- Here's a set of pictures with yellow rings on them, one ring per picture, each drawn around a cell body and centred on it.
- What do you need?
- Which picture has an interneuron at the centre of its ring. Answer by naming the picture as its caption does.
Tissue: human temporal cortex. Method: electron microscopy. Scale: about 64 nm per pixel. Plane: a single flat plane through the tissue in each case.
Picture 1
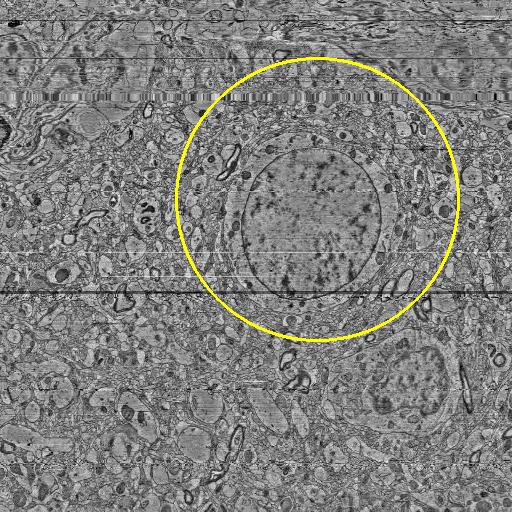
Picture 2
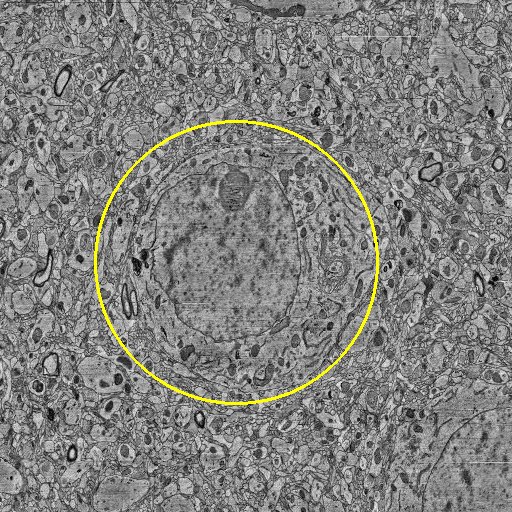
Picture 2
